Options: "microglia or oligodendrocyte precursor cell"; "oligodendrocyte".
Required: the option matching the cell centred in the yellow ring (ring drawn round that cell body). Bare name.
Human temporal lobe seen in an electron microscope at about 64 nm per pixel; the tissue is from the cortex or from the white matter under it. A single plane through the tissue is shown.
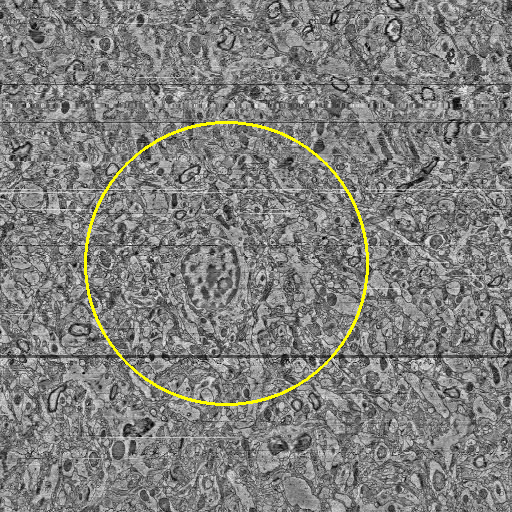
microglia or oligodendrocyte precursor cell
